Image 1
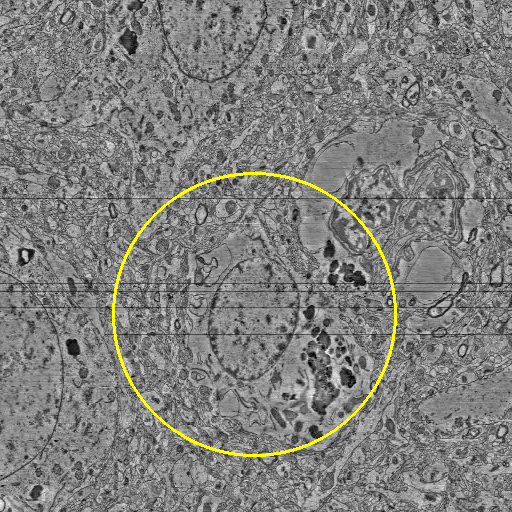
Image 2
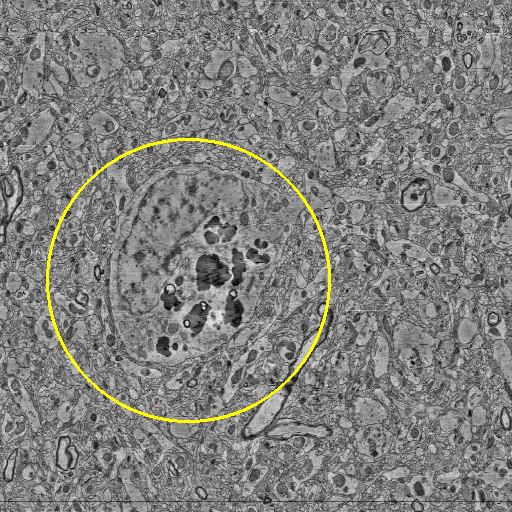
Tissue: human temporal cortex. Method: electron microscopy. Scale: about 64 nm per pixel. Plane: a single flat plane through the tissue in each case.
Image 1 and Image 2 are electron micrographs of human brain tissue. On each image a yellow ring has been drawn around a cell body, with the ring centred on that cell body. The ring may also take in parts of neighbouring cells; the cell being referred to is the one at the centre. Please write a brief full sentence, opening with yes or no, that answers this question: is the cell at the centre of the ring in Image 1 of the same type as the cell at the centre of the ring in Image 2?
No, the two cells are of two types.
